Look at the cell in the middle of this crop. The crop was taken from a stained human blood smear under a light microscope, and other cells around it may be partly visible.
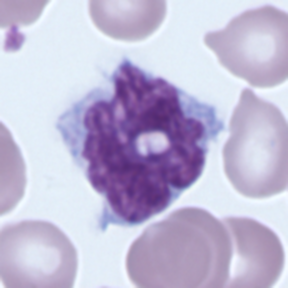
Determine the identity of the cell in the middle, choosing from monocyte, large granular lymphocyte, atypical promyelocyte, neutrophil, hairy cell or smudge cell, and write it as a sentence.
In the center of this field lies a monocyte.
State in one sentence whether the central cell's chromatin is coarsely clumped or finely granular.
Its nuclear chromatin is gathered into coarse clumps.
